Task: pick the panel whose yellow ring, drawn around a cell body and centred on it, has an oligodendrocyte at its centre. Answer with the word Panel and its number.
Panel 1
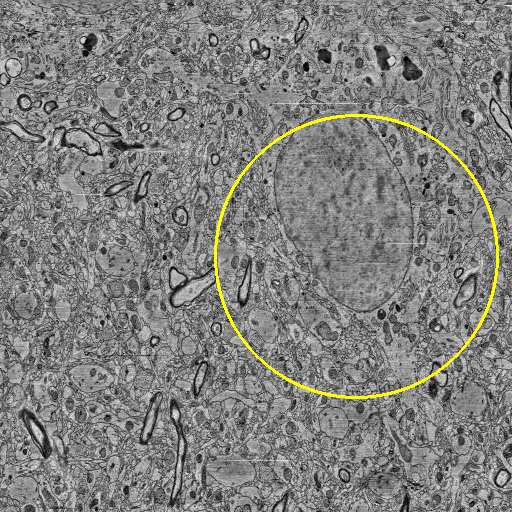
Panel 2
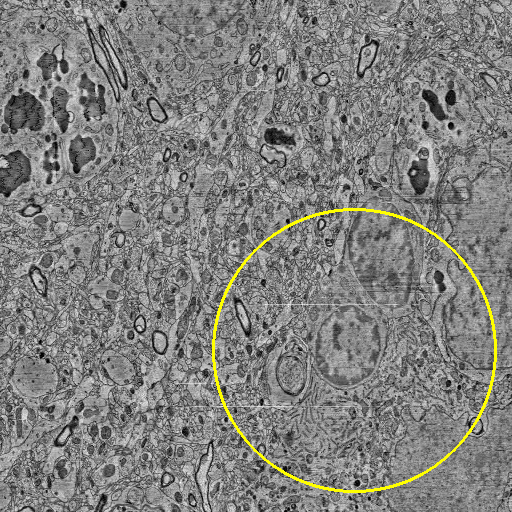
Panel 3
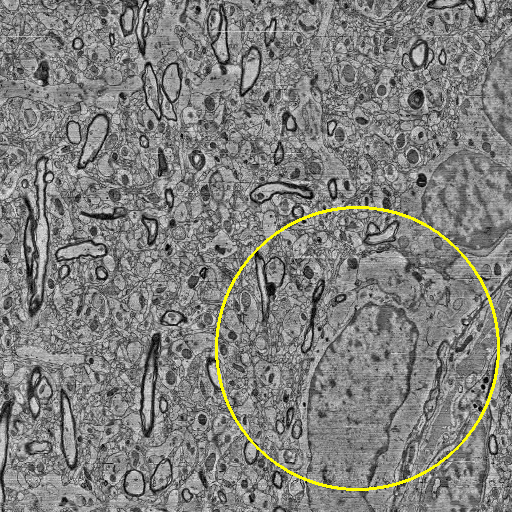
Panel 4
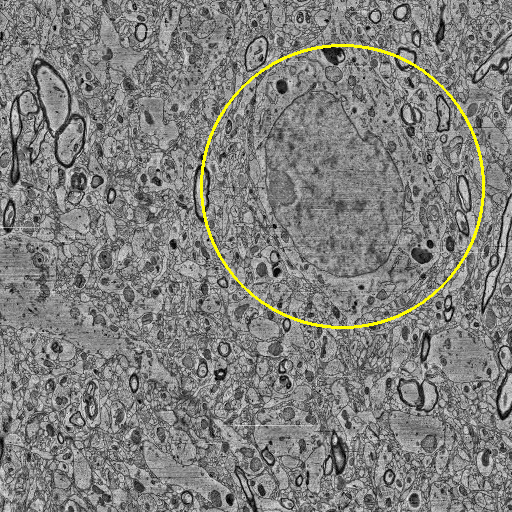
Panel 2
